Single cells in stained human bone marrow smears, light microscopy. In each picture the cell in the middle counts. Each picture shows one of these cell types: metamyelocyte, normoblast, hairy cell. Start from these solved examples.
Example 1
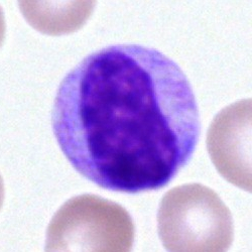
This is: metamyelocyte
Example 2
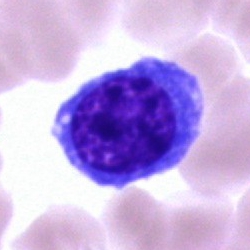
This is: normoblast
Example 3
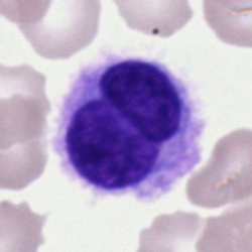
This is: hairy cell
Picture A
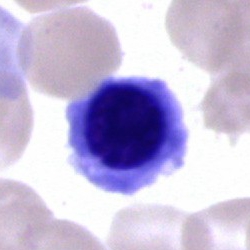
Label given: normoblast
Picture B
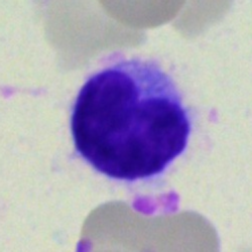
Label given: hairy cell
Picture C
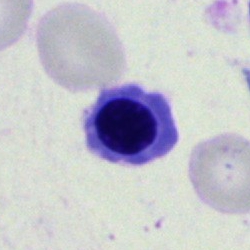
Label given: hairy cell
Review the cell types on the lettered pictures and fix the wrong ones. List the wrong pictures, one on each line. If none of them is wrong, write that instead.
C is labelled hairy cell; correct label: normoblast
